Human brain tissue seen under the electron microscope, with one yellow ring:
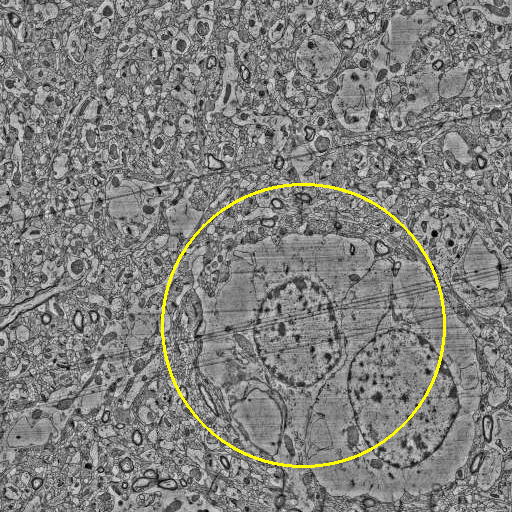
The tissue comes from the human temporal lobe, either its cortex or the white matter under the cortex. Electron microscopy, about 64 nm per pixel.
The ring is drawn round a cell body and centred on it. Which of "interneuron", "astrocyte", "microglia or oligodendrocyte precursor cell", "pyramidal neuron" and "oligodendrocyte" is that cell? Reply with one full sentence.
The picture shows an astrocyte at the very centre of the yellow ring.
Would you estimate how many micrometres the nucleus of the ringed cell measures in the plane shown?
In this plane the nucleus is about 7 micrometres by 6.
